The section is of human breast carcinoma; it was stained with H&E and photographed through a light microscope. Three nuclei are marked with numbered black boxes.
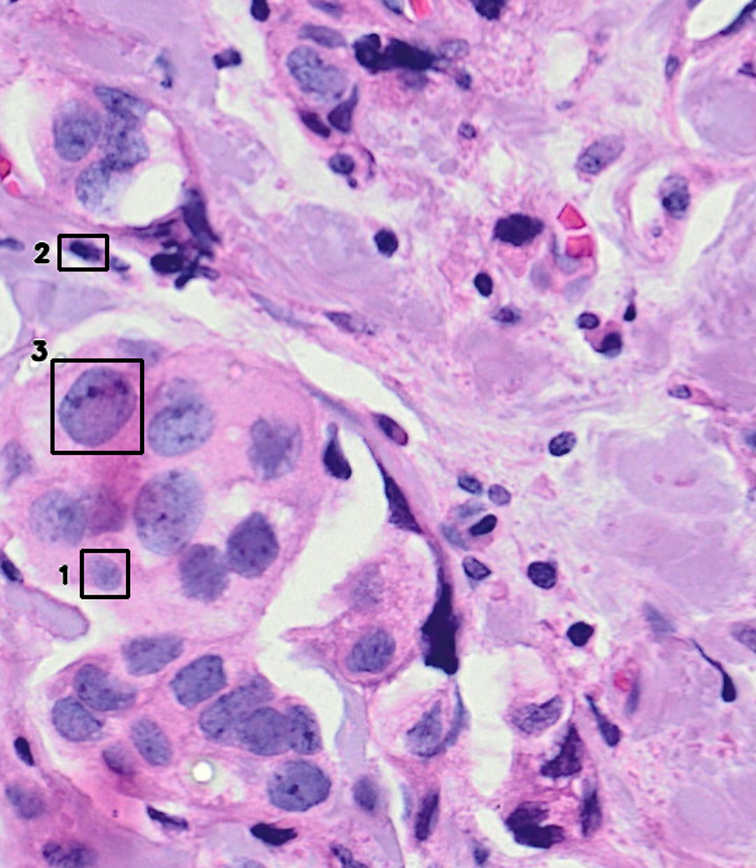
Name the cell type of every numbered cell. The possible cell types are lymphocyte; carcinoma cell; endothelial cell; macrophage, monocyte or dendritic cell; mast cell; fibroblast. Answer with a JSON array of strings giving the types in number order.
["carcinoma cell", "lymphocyte", "carcinoma cell"]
